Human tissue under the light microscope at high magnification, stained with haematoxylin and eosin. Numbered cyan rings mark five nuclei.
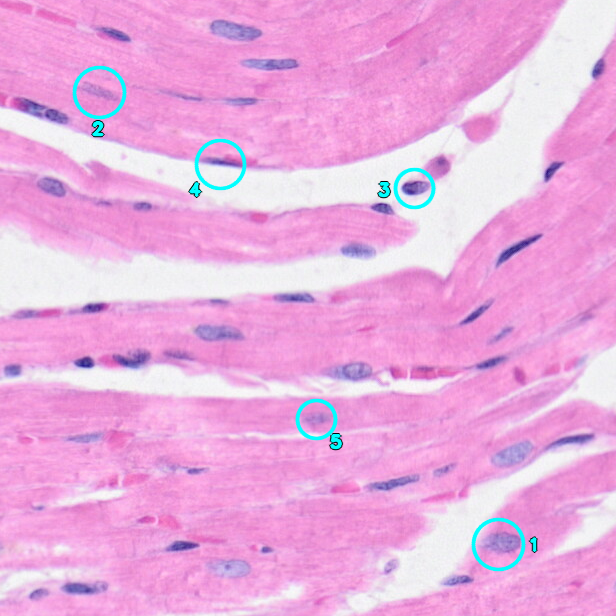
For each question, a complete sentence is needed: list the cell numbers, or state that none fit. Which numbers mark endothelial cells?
Cell 4 is an endothelial cell, while all remaining marked cells are of other types.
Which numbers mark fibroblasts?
Among the numbered cells, cell 3 alone is a fibroblast.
